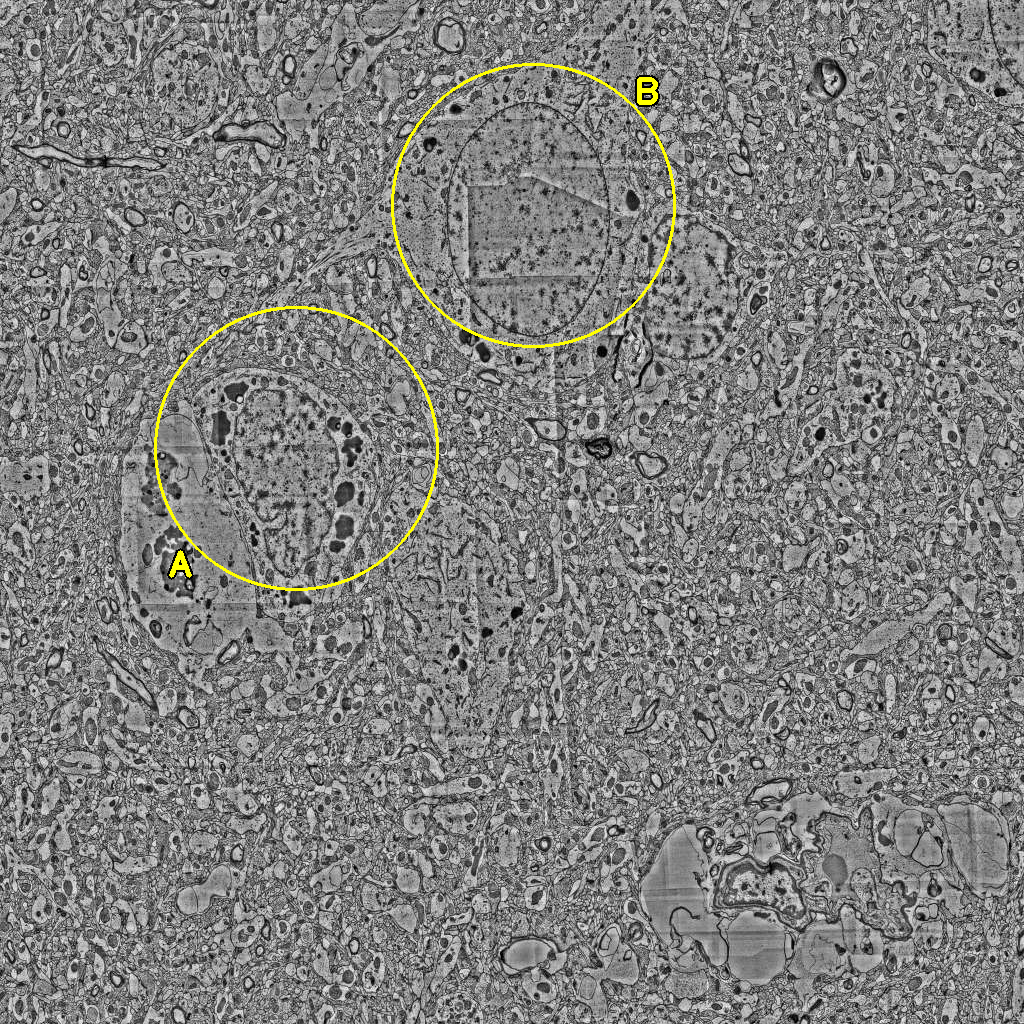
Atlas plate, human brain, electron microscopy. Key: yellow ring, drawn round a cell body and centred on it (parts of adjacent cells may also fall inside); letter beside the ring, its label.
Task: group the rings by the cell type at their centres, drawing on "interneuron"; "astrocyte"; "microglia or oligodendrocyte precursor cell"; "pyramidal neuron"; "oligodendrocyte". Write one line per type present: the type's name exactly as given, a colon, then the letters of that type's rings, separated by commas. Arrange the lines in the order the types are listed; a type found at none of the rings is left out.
interneuron: A
pyramidal neuron: B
